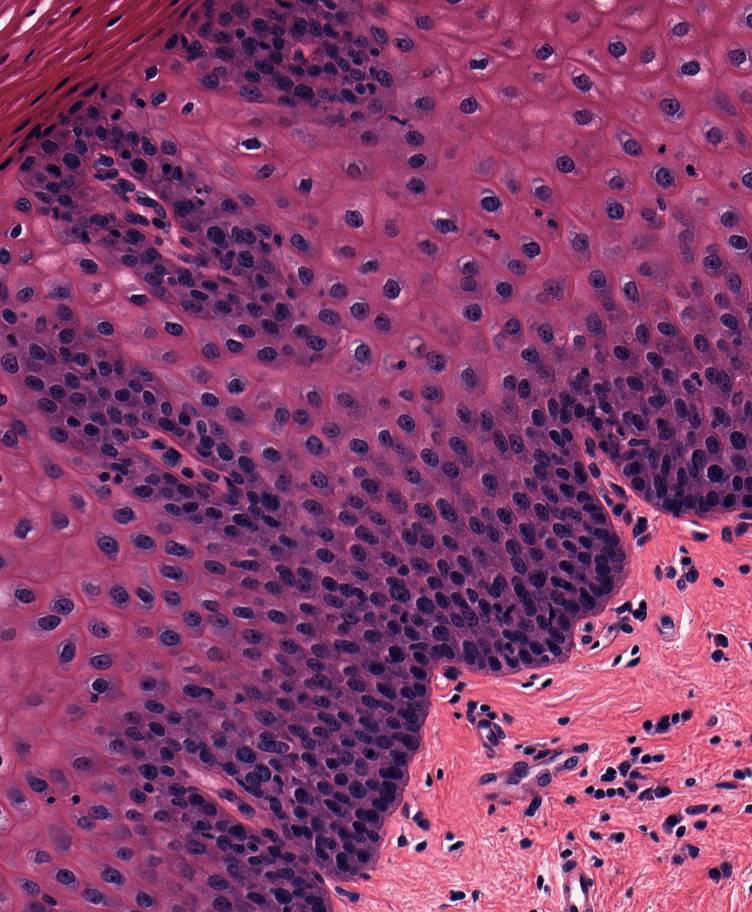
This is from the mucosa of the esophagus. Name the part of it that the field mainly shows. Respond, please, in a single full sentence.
It is stratified squamous nonkeratinized epithelium that this tissue section depicts.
